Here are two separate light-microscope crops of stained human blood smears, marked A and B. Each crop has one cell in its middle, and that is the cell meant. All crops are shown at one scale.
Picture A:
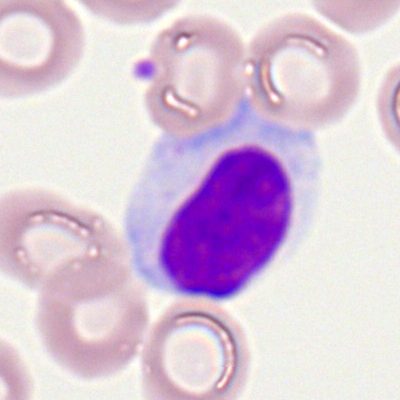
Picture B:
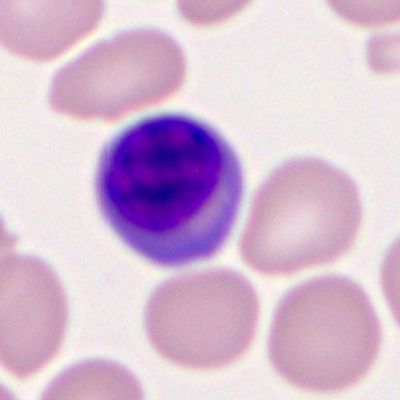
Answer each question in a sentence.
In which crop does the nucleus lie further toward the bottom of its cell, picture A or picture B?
It is the nucleus in picture A that lies further toward the bottom of its cell.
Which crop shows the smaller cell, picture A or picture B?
Smaller is the cell in picture B, and the other is about 1.5 times as large in area.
